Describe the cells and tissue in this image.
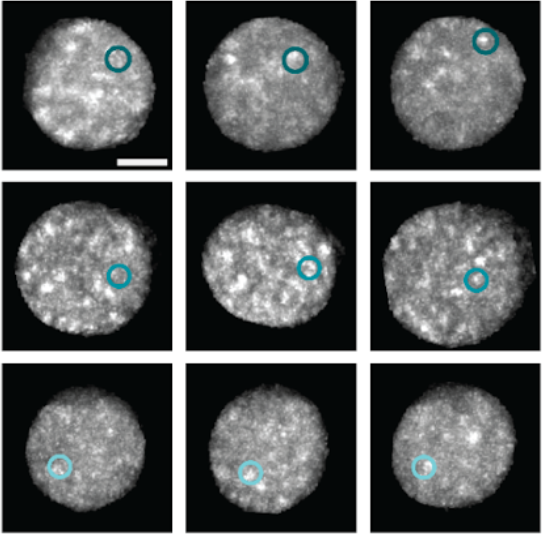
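A grid of nine small fluorescence images, each showing one round body on a black background. These are single nuclei. The grey signal fills each nucleus unevenly: it forms many bright speckles and small clusters against a dimmer, granular background. There is no signal outside the nuclear outline, so the surroundings are blank. In each image a small coloured circle surrounds one spot inside the nucleus, and a bright cluster lies within or right beside that circle. The nuclei are all of much the same size and round shape. Brightness varies somewhat from one row of images to the next.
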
